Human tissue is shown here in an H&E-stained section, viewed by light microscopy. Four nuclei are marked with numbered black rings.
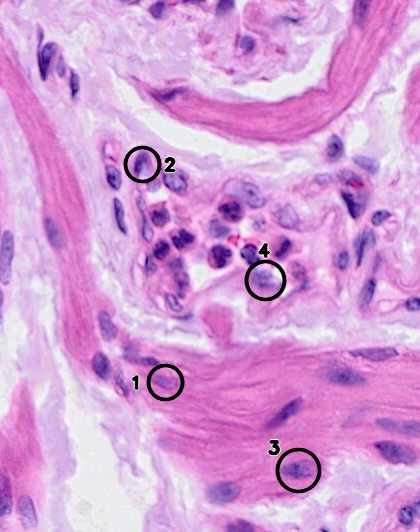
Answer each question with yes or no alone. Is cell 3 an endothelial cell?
no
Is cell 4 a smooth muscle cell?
no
